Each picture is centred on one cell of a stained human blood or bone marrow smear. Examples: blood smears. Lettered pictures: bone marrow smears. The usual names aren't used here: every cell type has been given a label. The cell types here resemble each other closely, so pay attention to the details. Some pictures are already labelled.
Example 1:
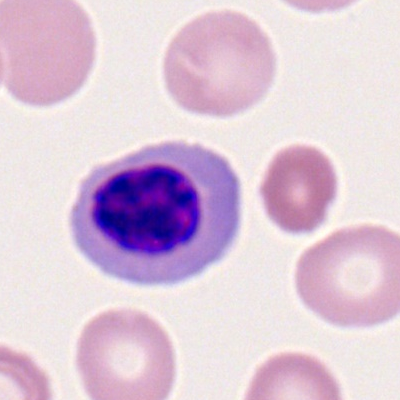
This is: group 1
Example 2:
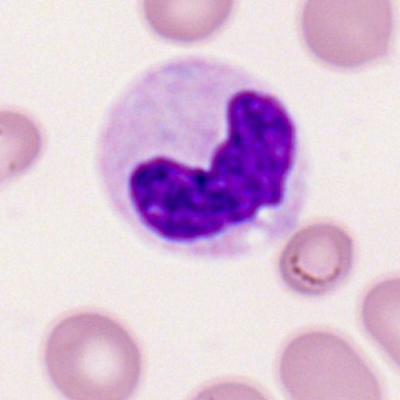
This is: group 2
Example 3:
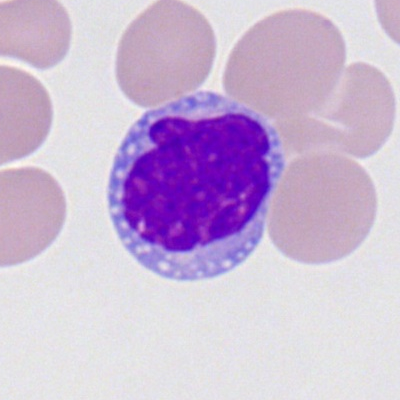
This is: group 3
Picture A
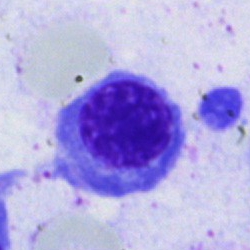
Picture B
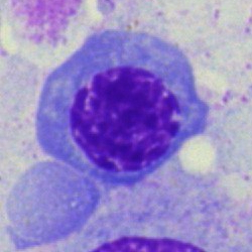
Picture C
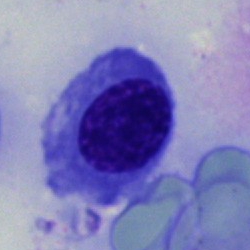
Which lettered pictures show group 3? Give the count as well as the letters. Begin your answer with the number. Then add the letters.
0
